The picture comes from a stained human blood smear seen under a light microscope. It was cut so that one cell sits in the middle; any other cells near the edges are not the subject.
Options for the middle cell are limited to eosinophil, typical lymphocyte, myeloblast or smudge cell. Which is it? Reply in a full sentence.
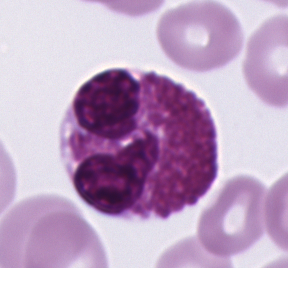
The cell around which this crop is centred is an eosinophil.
